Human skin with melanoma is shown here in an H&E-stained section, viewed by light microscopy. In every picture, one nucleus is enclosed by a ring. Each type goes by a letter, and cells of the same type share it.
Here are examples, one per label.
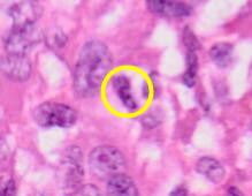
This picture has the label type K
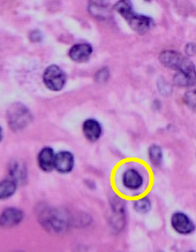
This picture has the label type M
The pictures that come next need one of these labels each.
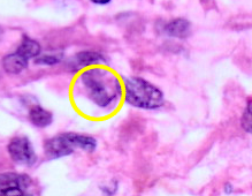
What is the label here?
type K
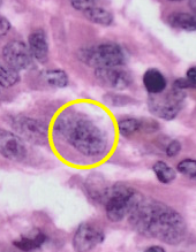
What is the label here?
type K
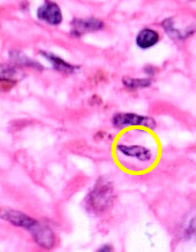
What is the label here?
type M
